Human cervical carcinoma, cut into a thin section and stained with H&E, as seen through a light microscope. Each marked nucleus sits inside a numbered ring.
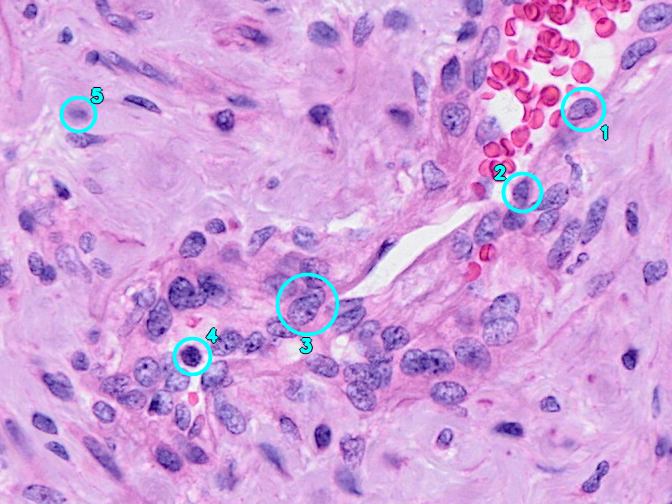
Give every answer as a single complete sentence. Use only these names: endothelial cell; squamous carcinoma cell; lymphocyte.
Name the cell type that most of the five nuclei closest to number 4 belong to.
Most of the five nuclei nearest to number 4 are those of endothelial cells.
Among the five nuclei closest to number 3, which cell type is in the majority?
Endothelial cells make up most of the five nuclei closest to number 3.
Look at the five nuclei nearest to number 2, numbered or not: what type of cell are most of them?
Endothelial cells account for more than half of the five nuclei nearest to number 2.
